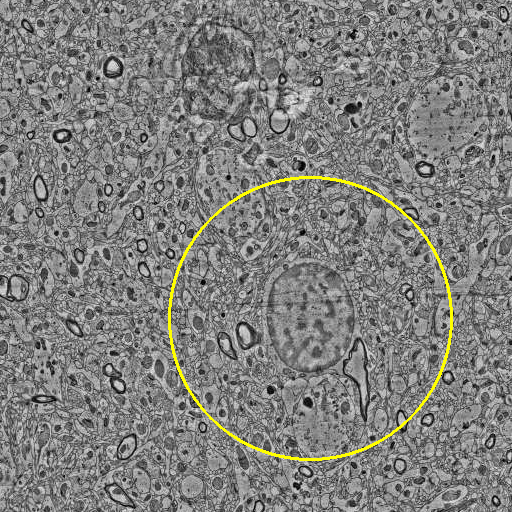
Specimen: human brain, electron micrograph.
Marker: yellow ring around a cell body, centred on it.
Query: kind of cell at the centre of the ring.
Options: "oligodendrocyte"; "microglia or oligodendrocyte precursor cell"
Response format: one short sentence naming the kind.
This cell body belongs to an oligodendrocyte.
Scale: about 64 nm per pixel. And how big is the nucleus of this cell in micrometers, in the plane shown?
The ringed cell's nucleus measures approximately 7 by 6 micrometres in this plane.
